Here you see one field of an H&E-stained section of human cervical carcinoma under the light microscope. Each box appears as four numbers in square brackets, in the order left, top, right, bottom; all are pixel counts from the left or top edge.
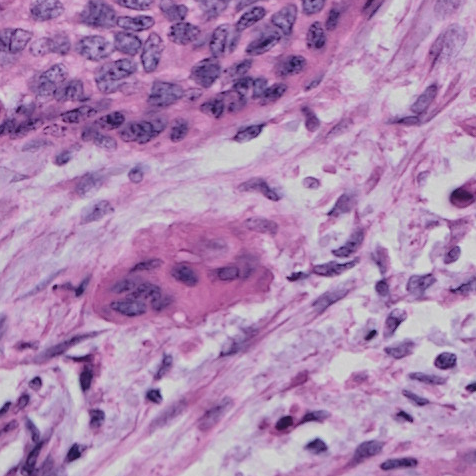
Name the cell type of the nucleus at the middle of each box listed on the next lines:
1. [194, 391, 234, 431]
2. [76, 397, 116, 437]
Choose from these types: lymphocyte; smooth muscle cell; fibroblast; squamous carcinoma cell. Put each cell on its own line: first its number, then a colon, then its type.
1: fibroblast
2: lymphocyte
